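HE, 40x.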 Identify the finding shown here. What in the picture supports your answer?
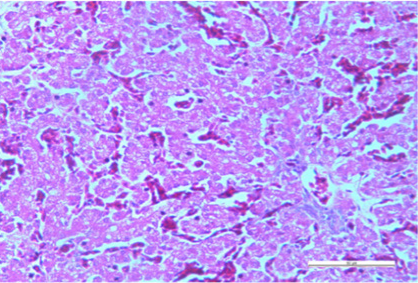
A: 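Vacuolation of the hepatocytes. Liver cell cytoplasm is pale and foamy rather than solid pink. Cell cords look swollen with indistinct nuclei.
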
